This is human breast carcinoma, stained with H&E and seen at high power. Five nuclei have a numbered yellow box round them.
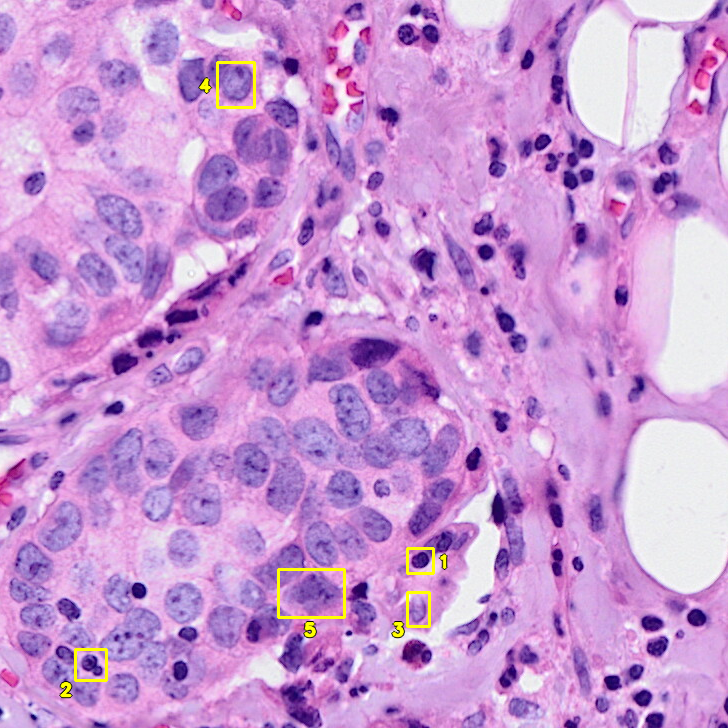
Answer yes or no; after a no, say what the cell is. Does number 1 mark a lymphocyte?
Yes.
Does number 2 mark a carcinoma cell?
No, it is a lymphocyte.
